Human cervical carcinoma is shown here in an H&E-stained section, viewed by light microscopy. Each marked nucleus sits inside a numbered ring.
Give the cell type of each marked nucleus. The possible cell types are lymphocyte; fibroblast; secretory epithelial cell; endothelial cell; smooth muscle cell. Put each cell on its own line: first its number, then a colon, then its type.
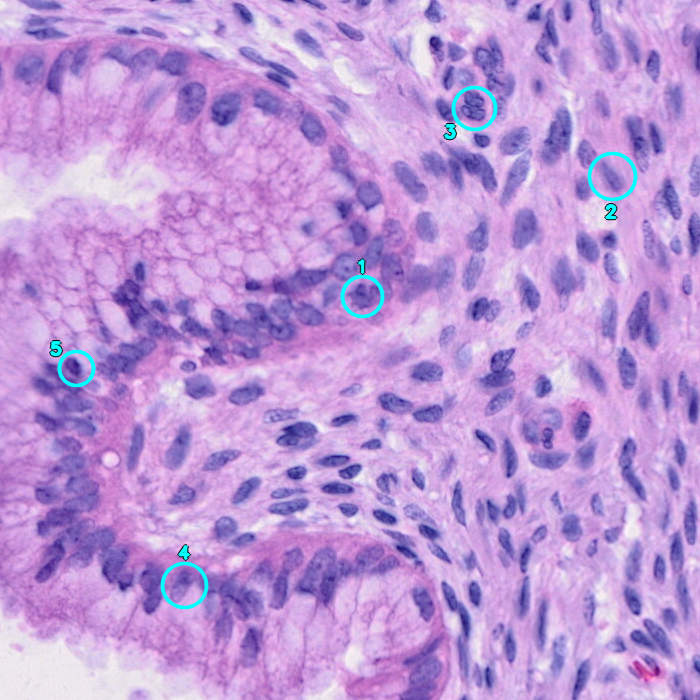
1: secretory epithelial cell
2: fibroblast
3: endothelial cell
4: secretory epithelial cell
5: secretory epithelial cell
